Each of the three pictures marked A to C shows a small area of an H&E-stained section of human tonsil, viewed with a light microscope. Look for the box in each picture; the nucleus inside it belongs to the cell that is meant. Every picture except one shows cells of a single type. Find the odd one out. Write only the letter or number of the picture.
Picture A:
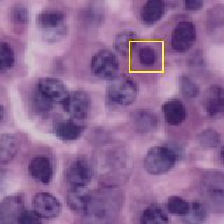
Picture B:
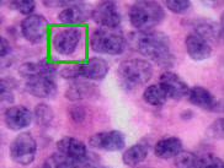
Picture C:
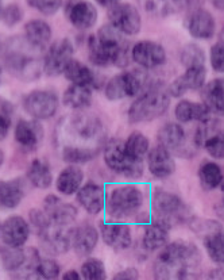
A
